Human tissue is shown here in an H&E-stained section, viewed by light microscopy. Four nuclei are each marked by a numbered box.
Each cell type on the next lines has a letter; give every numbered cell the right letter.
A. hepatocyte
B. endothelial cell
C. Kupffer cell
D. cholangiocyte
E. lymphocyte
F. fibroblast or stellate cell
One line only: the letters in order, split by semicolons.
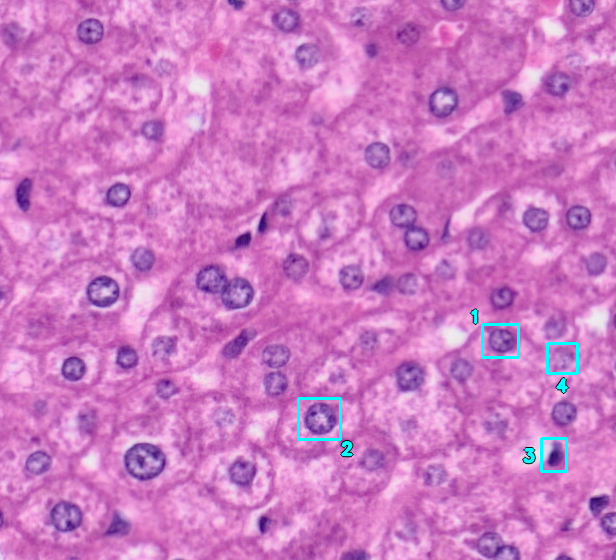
A; A; B; A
